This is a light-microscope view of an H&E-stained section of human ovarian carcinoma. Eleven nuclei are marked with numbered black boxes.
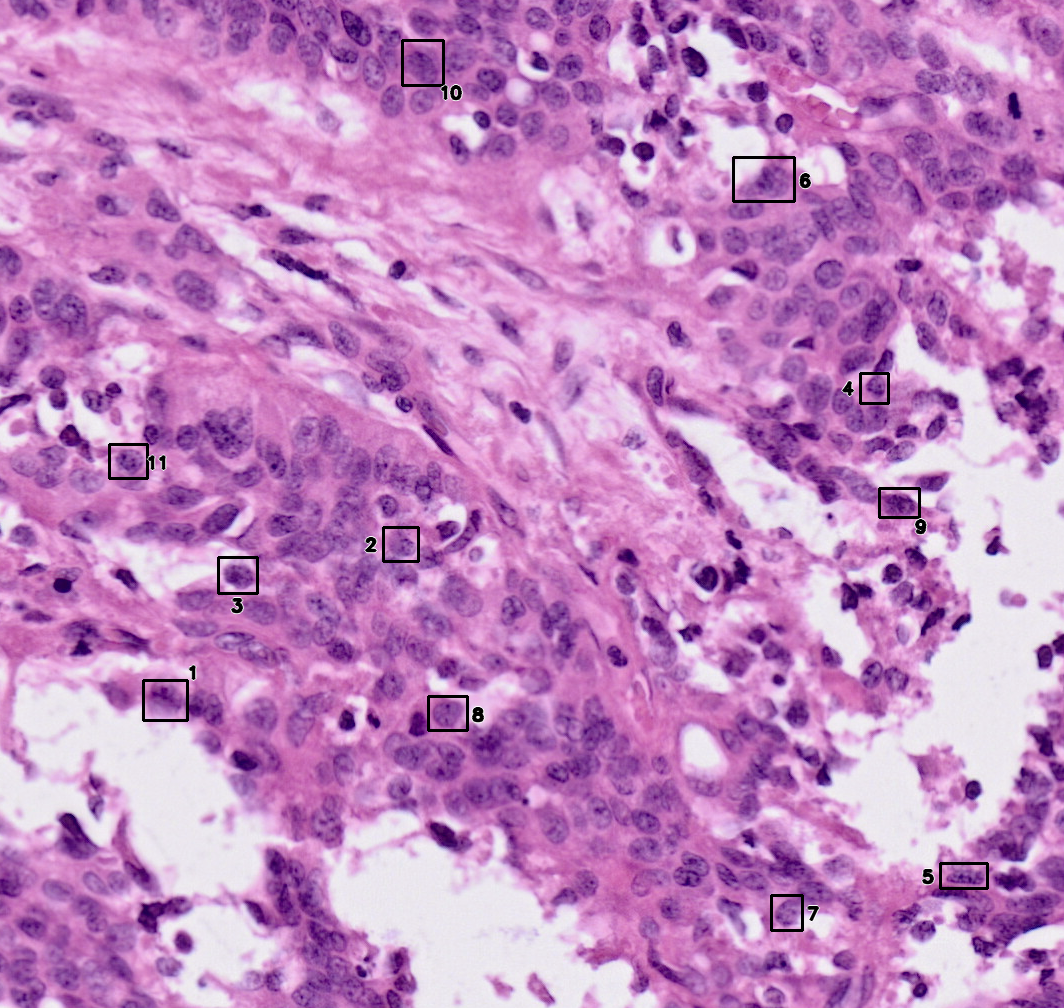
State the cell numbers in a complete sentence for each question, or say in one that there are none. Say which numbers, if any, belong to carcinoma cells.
The cells carrying labels 1, 6, 8, 9 and 10 are carcinoma cells.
